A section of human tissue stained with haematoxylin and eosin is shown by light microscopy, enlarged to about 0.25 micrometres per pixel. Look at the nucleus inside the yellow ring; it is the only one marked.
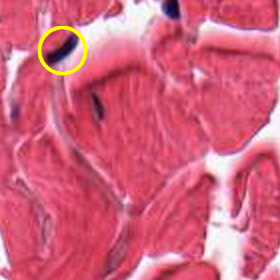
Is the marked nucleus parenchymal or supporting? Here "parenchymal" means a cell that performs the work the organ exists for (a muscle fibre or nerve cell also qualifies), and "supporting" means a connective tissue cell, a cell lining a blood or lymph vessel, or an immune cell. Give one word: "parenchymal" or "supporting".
supporting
